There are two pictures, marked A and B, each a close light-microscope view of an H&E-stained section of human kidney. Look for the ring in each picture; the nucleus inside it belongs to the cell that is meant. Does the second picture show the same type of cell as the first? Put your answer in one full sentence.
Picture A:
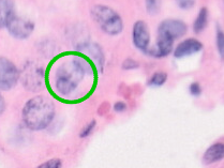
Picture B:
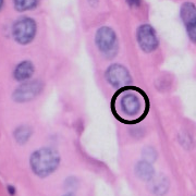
Yes, the two pictures both show collecting duct cells.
